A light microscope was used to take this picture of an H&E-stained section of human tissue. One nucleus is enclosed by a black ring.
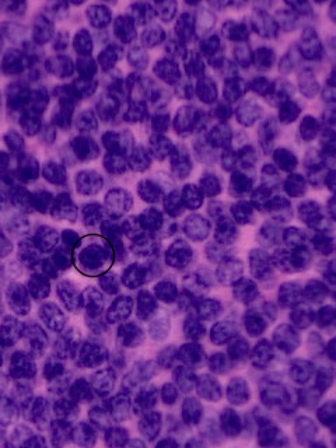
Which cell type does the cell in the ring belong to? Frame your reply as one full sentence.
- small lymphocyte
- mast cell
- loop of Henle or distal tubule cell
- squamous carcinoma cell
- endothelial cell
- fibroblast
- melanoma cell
At the level of cell identity, the cell in the ring is a small lymphocyte.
